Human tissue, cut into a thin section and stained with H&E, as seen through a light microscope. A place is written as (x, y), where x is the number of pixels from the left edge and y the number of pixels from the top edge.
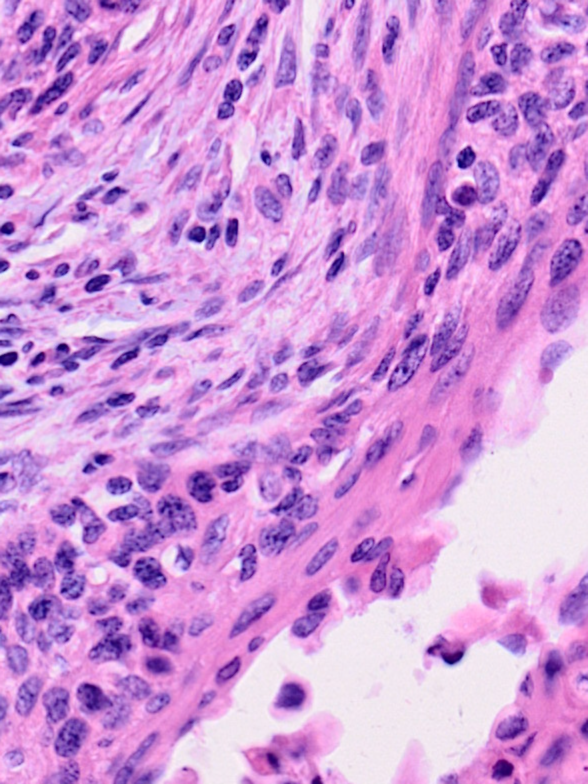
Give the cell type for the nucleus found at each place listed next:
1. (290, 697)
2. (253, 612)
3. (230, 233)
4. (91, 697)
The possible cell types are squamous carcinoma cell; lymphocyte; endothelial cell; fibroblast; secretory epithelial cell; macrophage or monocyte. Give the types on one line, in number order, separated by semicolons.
squamous carcinoma cell; squamous carcinoma cell; lymphocyte; squamous carcinoma cell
